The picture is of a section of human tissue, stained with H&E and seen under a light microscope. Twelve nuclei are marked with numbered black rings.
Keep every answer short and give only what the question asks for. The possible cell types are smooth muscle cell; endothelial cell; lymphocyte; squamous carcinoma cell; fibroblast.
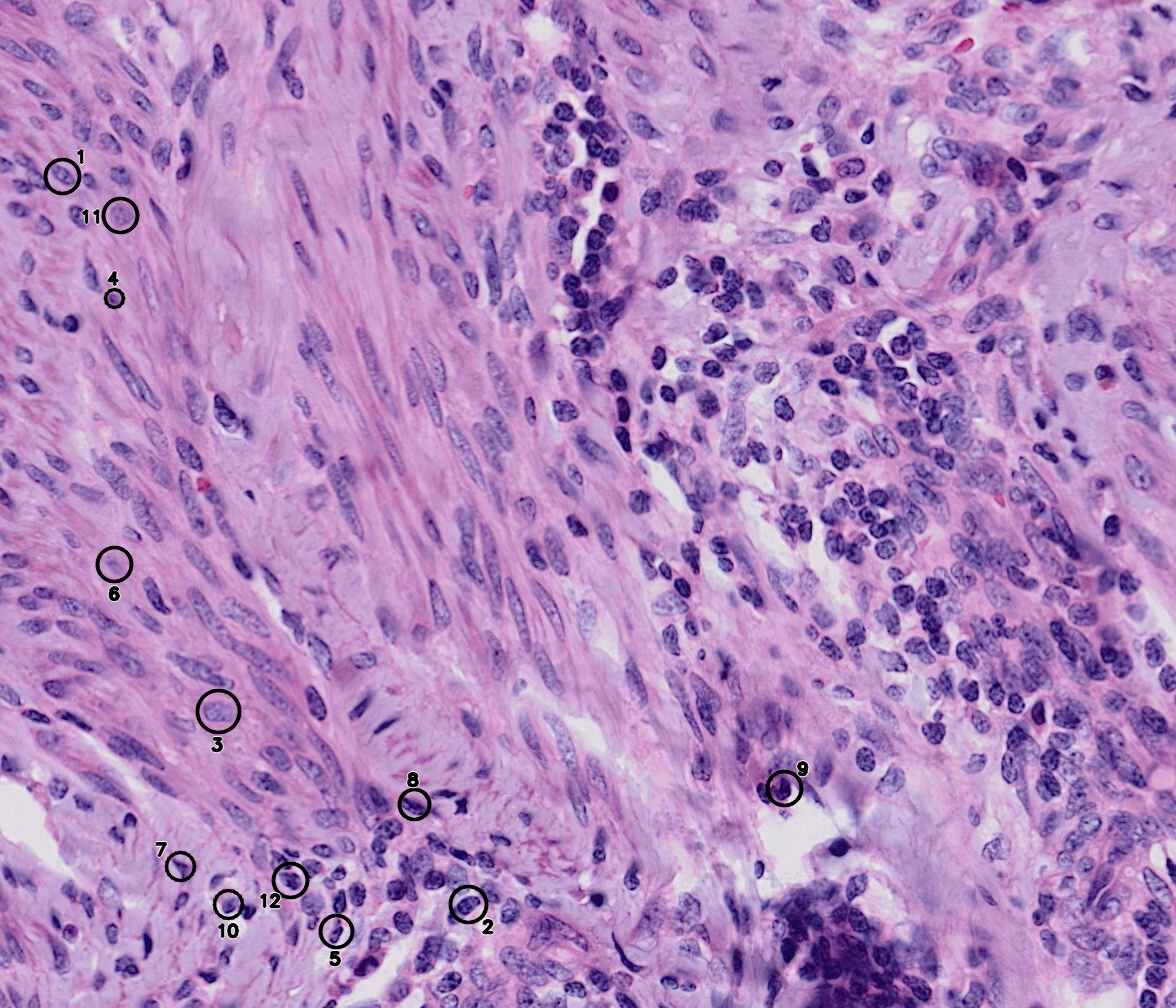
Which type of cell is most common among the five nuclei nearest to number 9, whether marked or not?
fibroblast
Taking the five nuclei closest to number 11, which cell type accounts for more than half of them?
smooth muscle cell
